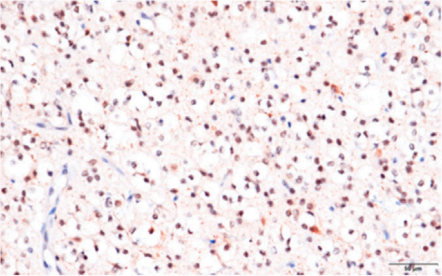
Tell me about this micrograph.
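The nuclei are small and round, and most of them are stained brown-red, while a minority stay blue. Many cells have a clear rim of cytoplasm around the nucleus, so the nuclei look as if they sit in small empty spaces. The tissue has a somewhat vacuolated, spongy texture between the cells.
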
